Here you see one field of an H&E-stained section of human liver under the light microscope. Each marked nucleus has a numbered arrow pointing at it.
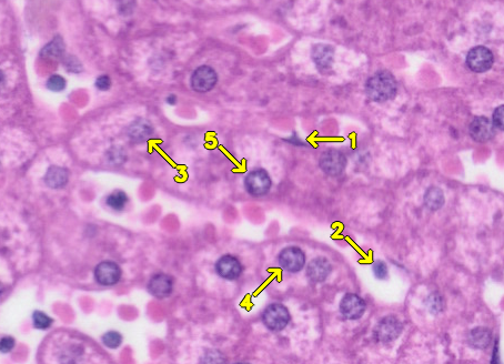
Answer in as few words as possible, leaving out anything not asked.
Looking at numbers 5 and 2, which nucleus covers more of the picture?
5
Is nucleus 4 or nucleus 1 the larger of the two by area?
4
